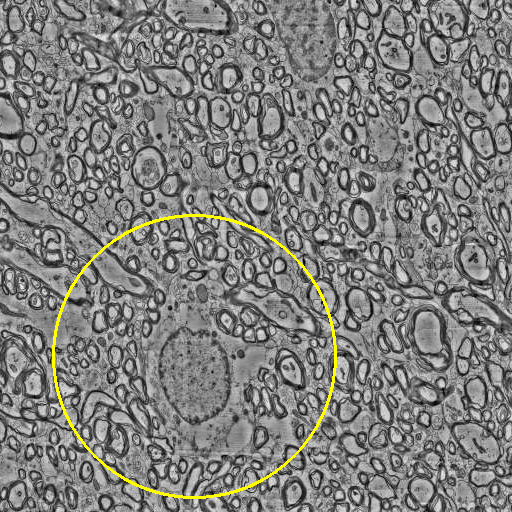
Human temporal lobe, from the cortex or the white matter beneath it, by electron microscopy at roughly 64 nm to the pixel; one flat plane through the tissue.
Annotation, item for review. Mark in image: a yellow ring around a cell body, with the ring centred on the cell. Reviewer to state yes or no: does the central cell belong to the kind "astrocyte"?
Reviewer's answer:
yes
